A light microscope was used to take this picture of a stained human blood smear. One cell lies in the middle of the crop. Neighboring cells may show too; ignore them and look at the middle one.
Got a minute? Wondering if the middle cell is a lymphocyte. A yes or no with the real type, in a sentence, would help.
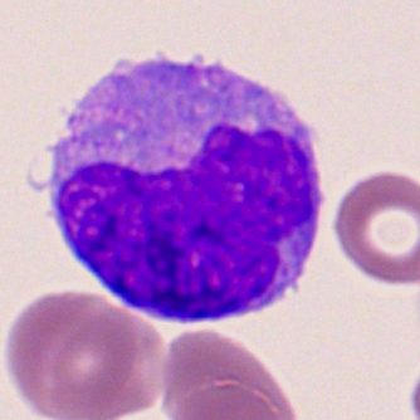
No, what is seen at the centre is a monocyte instead of a lymphocyte.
